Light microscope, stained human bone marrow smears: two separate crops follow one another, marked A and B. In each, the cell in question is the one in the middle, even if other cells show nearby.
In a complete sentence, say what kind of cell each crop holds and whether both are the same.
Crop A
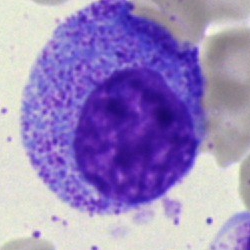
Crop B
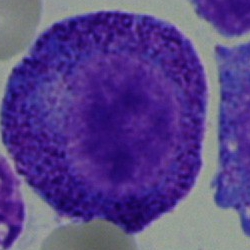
Yes, both crops show promyelocytes in the middle.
